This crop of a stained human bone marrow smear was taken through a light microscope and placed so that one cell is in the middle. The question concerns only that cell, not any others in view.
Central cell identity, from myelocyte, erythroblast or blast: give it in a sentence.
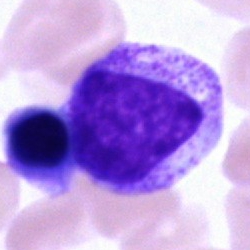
The cell occupying the middle of the crop is a myelocyte.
